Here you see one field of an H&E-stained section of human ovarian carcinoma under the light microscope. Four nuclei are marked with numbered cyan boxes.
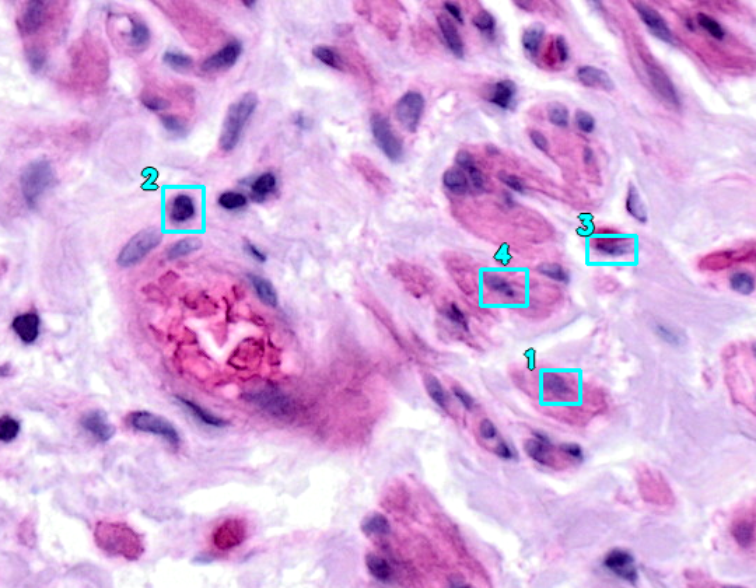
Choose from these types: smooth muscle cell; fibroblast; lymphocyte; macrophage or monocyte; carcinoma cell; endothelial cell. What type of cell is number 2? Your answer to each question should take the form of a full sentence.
The expected answer is that cell 2 is a lymphocyte.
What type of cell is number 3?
The cell marked with the number 3 is an endothelial cell.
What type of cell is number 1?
The marked nucleus 1 is that of a smooth muscle cell.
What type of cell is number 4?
The cell numbered 4 has been identified as a smooth muscle cell.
